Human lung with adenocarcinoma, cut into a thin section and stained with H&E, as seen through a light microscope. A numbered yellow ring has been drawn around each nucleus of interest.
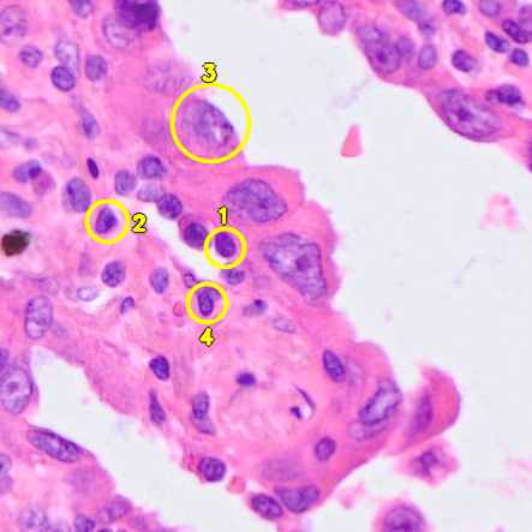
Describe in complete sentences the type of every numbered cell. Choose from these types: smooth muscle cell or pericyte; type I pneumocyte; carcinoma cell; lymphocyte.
Cell 1 is a lymphocyte, cell 2 is a lymphocyte, cell 3 is a carcinoma cell and cell 4 is a lymphocyte.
